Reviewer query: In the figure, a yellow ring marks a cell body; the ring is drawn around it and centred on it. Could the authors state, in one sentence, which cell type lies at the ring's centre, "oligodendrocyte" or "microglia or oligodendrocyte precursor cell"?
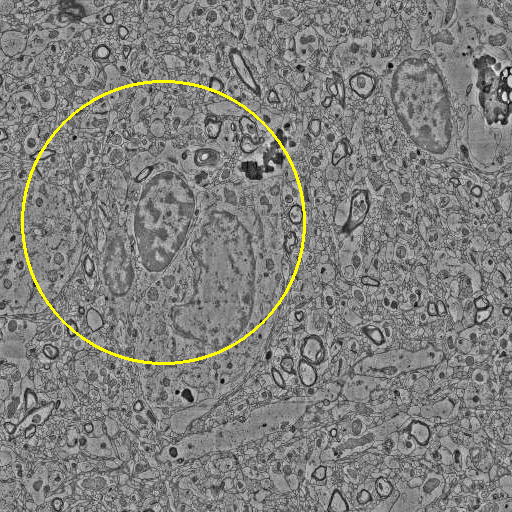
The ring is centred on a microglial cell or oligodendrocyte precursor cell.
